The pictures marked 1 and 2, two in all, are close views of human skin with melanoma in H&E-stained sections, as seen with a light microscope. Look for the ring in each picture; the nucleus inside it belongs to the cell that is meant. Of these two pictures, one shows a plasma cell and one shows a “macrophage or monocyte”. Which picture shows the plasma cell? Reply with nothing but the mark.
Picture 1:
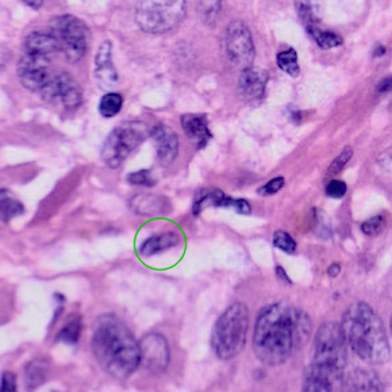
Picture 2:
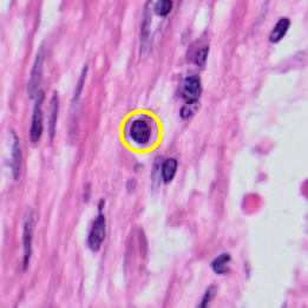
2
